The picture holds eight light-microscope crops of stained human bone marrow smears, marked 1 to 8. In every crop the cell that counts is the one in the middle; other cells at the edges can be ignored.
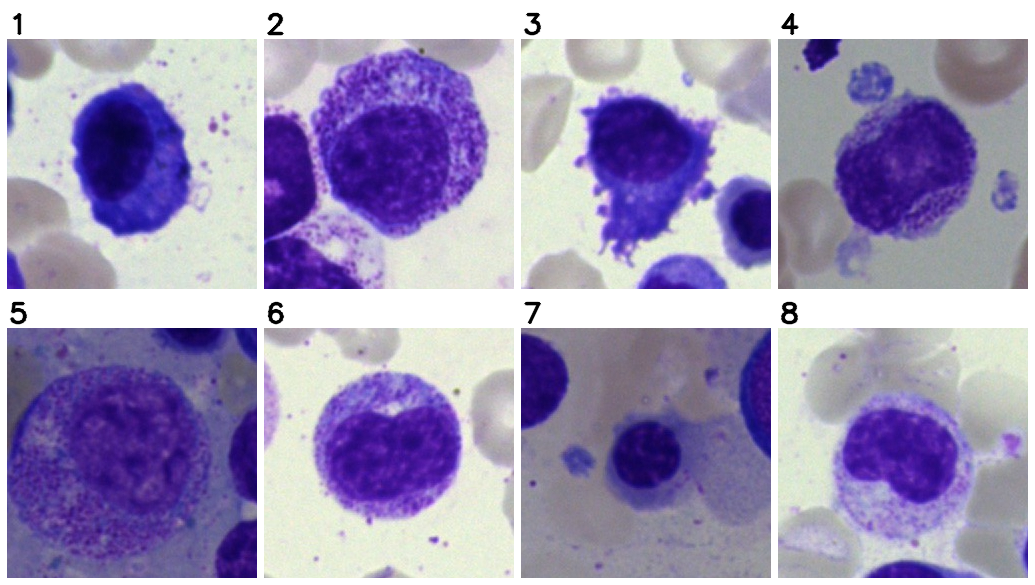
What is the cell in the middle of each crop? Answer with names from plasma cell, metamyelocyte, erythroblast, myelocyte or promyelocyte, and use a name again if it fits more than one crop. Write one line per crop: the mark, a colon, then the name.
1: plasma cell
2: myelocyte
3: plasma cell
4: metamyelocyte
5: myelocyte
6: metamyelocyte
7: erythroblast
8: metamyelocyte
